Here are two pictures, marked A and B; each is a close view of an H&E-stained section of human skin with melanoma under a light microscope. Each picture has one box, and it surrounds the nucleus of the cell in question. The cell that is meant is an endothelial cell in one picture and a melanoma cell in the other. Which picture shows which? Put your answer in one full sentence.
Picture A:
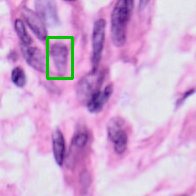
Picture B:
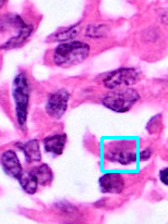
It is picture A that shows an endothelial cell, and picture B that shows a melanoma cell.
